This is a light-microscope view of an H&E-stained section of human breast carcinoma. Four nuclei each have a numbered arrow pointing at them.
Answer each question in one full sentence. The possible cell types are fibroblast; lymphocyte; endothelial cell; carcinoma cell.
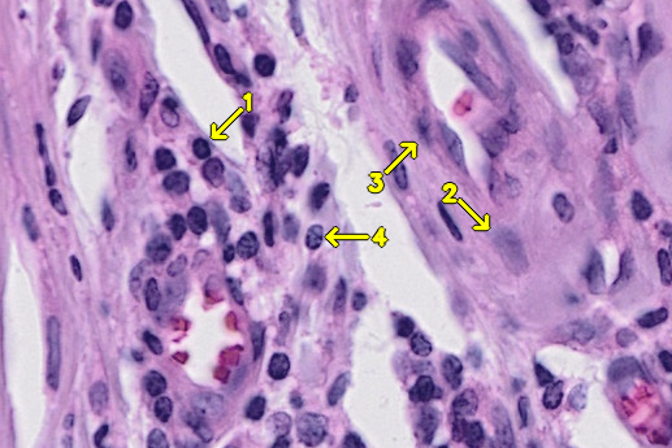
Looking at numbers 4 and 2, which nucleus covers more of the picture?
Of the two, number 2 is bigger and takes up about 2.5 times the area of number 4.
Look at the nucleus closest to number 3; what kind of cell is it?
It is an endothelial cell whose nucleus is nearest to number 3.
